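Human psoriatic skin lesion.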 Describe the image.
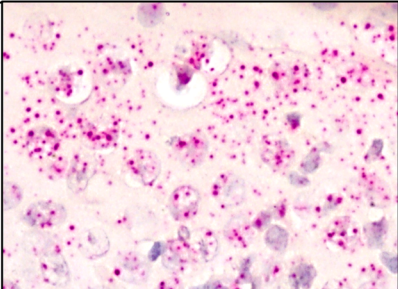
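The keratinocytes have large pale oval nuclei and are densely sprinkled with numerous red dots throughout the cells. Scattered clear spaces lie between some of the cells.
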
